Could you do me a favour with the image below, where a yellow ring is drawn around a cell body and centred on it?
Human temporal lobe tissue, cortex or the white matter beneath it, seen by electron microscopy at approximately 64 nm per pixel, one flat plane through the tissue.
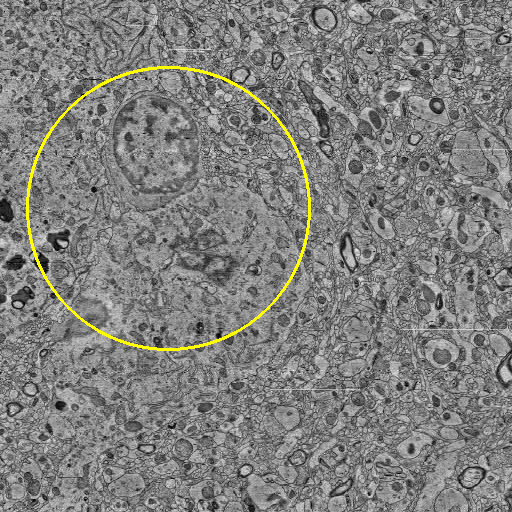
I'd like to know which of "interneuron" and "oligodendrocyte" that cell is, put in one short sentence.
The cell at the ring's centre is an oligodendrocyte.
